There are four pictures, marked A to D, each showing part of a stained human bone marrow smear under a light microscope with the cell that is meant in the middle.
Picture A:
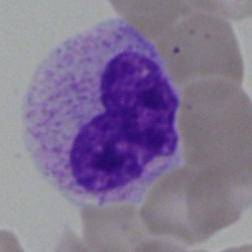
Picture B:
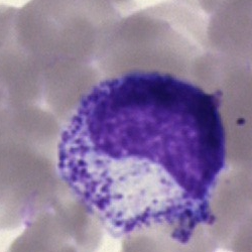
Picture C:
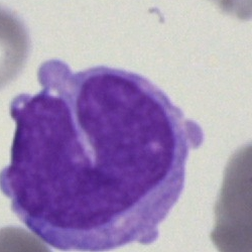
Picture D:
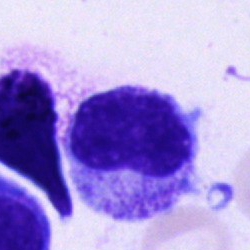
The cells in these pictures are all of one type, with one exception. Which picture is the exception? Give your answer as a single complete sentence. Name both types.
Unlike the rest, which show metamyelocytes, picture C shows a monocyte.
